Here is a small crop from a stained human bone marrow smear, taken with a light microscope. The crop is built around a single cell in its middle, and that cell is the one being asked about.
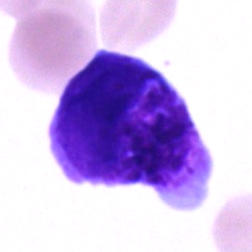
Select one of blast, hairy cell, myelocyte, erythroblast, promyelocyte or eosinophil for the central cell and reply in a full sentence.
The cell featured at the centre of this crop is a blast.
